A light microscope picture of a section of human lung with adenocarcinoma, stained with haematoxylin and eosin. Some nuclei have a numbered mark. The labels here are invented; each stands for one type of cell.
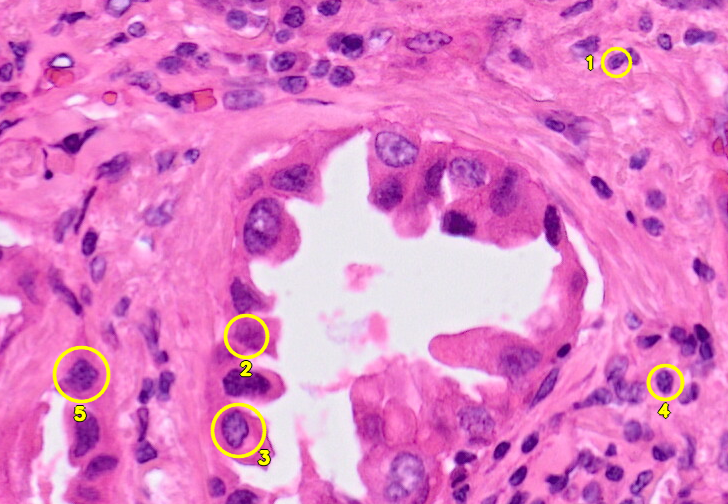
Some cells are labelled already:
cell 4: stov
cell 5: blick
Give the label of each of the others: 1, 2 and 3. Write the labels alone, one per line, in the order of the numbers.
stov
blick
blick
